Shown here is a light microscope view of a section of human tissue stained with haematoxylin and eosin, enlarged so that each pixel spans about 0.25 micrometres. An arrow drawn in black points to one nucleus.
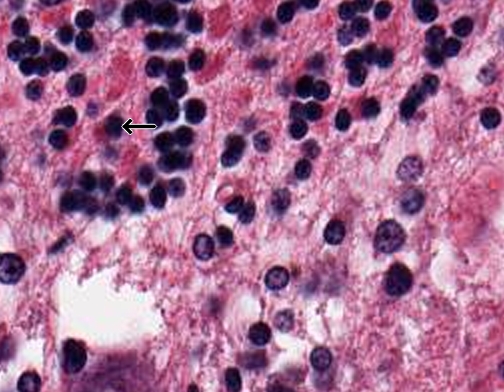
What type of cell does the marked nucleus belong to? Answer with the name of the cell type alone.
cerebellar granule cell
